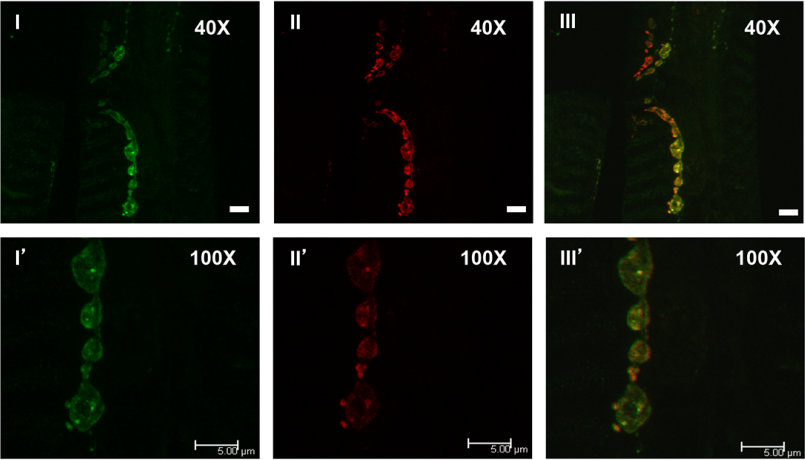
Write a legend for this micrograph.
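These are motor nerve terminals at the larval neuromuscular junction, seen as chains of rounded synaptic boutons lying on striated body-wall muscle. The boutons stand out as beads of graded size along a thin branch, outlined by green and red rims, and overlap to yellow in the merged images.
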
